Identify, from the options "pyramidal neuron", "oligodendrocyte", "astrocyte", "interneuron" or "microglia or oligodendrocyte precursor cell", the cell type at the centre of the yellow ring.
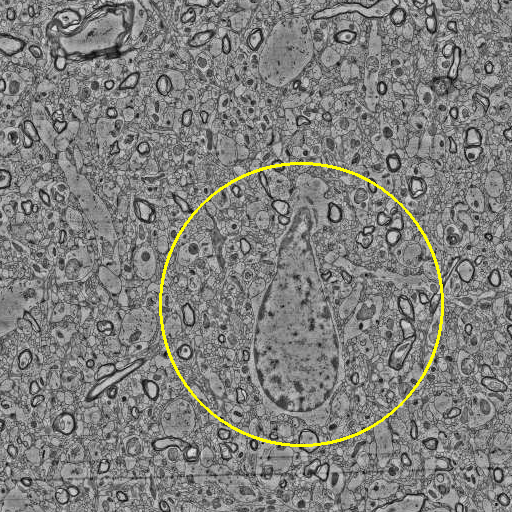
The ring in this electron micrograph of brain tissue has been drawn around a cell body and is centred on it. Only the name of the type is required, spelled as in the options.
microglia or oligodendrocyte precursor cell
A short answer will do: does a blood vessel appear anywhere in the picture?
No, none shows.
